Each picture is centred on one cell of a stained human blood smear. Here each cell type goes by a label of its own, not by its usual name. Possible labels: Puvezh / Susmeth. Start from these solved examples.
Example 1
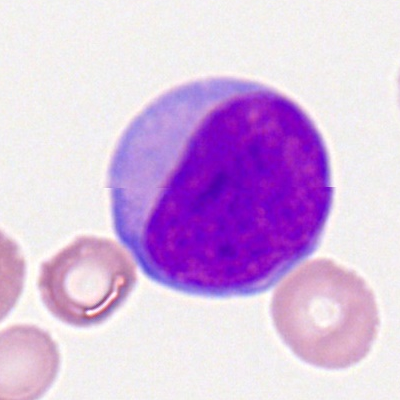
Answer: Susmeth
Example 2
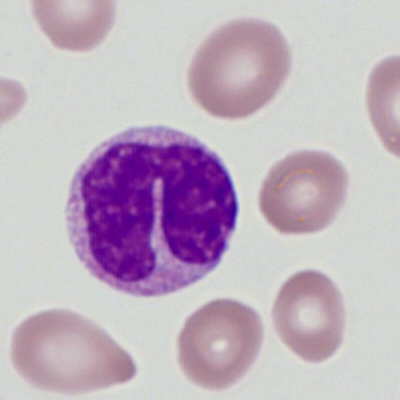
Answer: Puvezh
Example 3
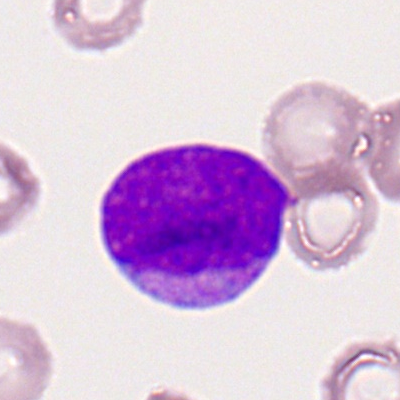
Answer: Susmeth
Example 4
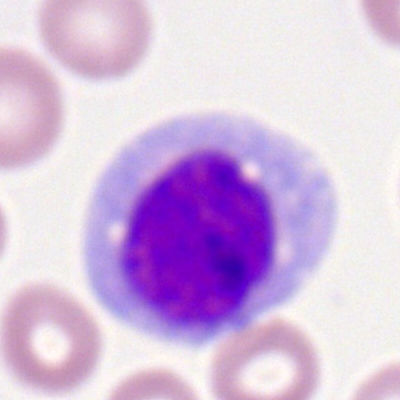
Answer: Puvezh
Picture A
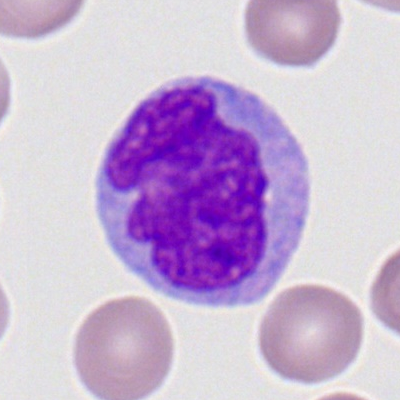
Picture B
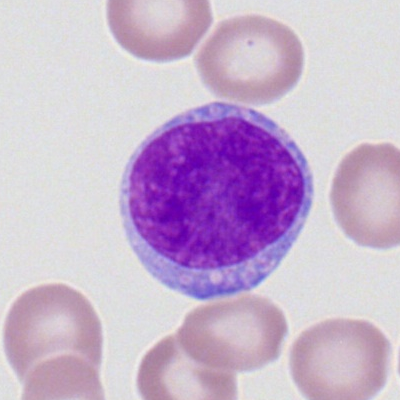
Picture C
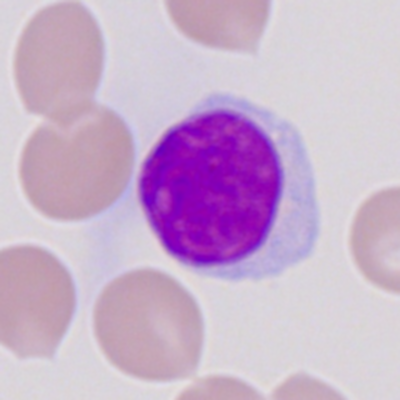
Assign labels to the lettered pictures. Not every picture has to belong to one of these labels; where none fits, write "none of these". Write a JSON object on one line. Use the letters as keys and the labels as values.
{"A": "Puvezh", "B": "Susmeth", "C": "none of these"}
